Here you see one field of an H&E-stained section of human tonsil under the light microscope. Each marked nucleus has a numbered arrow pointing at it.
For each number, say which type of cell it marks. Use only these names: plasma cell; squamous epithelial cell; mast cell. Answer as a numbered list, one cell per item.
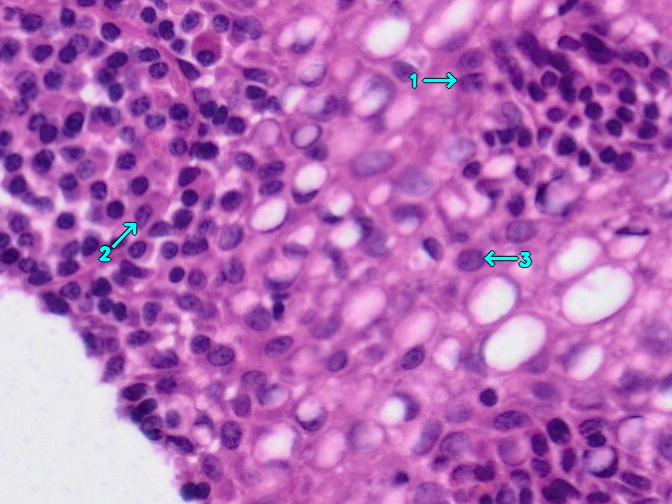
1. squamous epithelial cell
2. plasma cell
3. squamous epithelial cell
